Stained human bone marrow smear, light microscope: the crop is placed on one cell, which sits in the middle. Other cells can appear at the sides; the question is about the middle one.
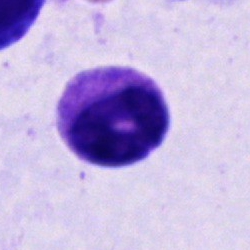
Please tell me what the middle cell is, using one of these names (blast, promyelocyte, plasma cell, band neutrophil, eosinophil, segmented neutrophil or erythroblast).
band neutrophil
